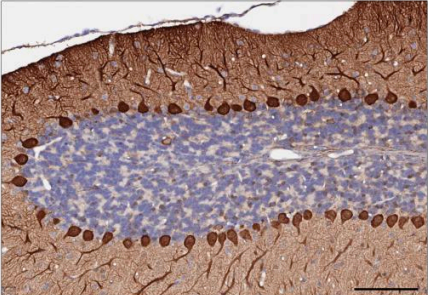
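This is cerebellar cortex showing a folium whose Purkinje cell layer is stained dark brown. Large, round to pear-shaped Purkinje cell bodies form one continuous row along both edges of the granular layer. From them, brown dendrites branch outward into the broad, brown molecular layer, which contains scattered small pale nuclei. The granular layer in the middle is crowded with small dark blue nuclei, and a narrow pale strand of white matter runs through its centre.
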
